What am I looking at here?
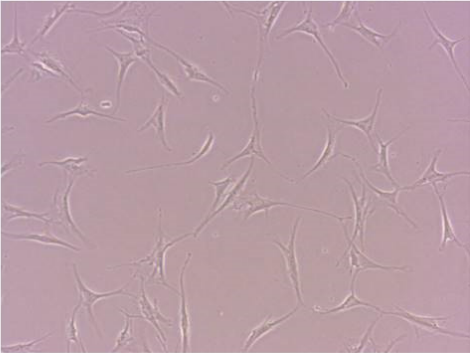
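These are adherent cells with fibroblast morphology, spread thinly over the culture surface. Most are spindle-shaped or star-shaped, with a central body from which long, slender processes reach out toward neighbouring cells. The cells are widely spaced, leaving much open surface between them, and only a few small, rounded, bright cells are seen.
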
